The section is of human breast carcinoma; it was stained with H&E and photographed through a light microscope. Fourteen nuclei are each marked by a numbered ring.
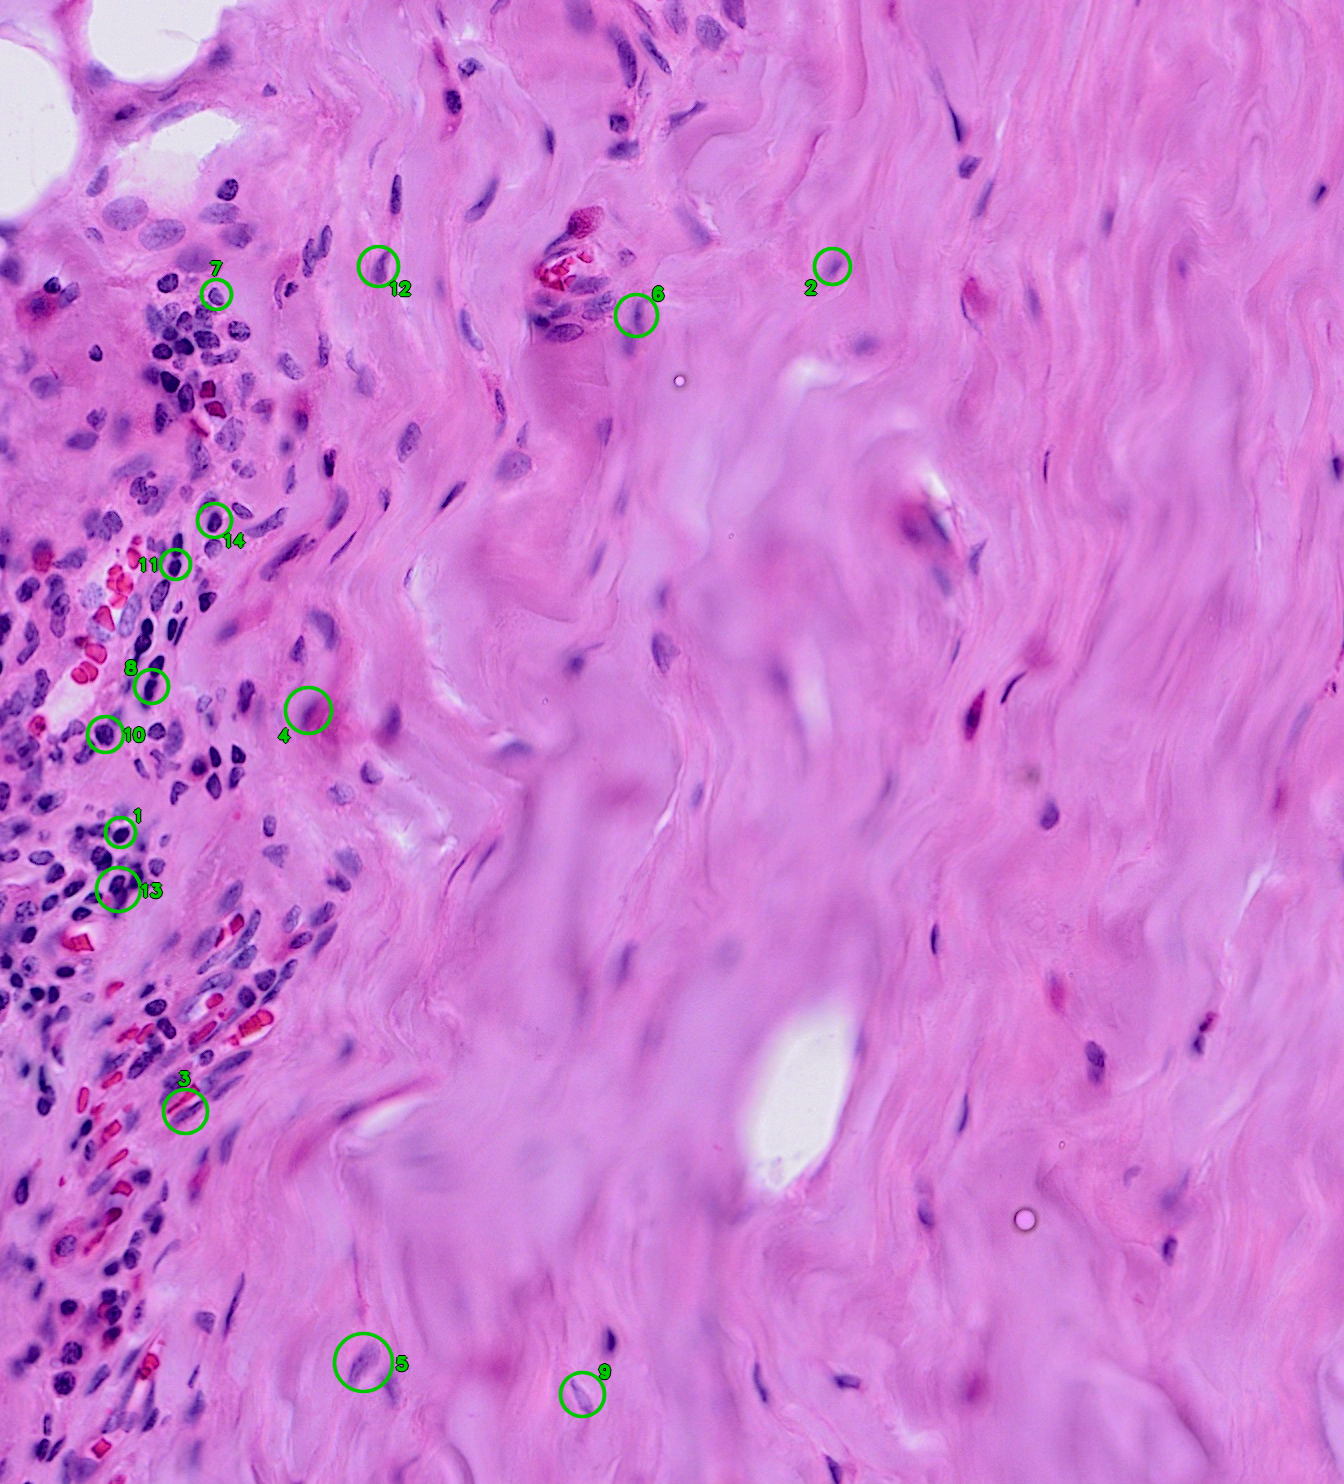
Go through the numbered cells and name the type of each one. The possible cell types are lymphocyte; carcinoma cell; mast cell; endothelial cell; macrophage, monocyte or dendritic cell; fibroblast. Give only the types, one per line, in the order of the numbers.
lymphocyte
fibroblast
endothelial cell
fibroblast
fibroblast
fibroblast
lymphocyte
lymphocyte
fibroblast
lymphocyte
lymphocyte
fibroblast
lymphocyte
lymphocyte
